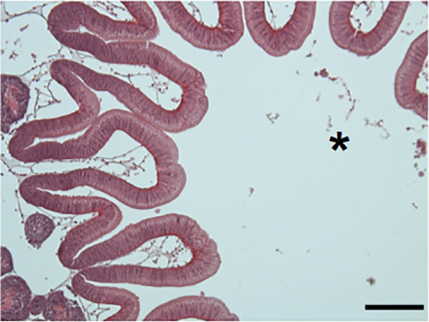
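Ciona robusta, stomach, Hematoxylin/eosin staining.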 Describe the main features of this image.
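The folds face a wide open lumen that holds only a few scattered particles. Along the outer side lie loose connective tissue strands and rounded tissue profiles.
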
